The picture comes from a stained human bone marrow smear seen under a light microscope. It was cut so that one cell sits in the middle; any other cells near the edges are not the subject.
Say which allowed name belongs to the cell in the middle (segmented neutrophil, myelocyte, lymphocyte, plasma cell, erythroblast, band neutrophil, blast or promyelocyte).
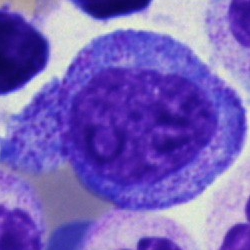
promyelocyte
